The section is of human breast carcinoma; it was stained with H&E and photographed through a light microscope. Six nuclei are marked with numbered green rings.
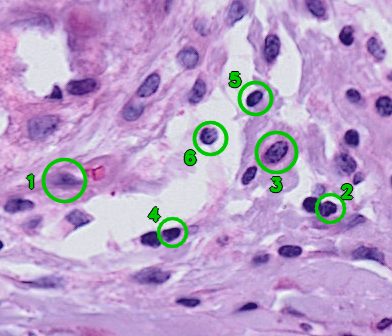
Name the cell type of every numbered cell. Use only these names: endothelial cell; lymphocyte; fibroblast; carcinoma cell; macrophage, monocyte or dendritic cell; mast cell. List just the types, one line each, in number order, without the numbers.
endothelial cell
lymphocyte
mast cell
lymphocyte
lymphocyte
lymphocyte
